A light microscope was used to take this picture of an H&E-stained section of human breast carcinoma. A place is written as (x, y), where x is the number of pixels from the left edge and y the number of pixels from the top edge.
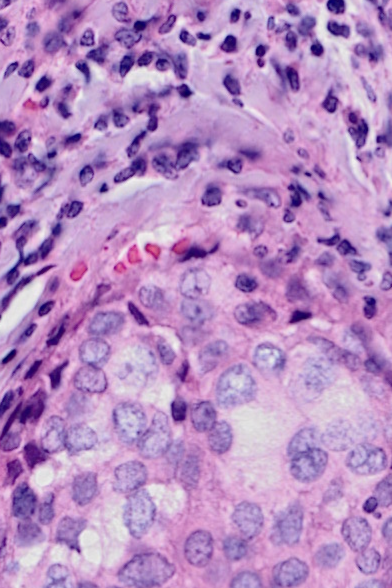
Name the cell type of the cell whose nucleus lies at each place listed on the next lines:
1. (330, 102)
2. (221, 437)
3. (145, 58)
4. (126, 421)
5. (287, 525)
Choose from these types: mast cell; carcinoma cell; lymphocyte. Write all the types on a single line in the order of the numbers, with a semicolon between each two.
lymphocyte; carcinoma cell; lymphocyte; carcinoma cell; carcinoma cell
